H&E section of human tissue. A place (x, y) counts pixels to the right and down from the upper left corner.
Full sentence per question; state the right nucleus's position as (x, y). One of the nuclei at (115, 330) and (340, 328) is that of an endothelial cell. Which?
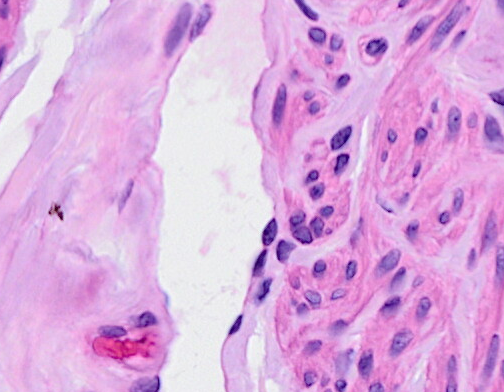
Of the two options, the nucleus at (115, 330) is the one that belongs to an endothelial cell.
